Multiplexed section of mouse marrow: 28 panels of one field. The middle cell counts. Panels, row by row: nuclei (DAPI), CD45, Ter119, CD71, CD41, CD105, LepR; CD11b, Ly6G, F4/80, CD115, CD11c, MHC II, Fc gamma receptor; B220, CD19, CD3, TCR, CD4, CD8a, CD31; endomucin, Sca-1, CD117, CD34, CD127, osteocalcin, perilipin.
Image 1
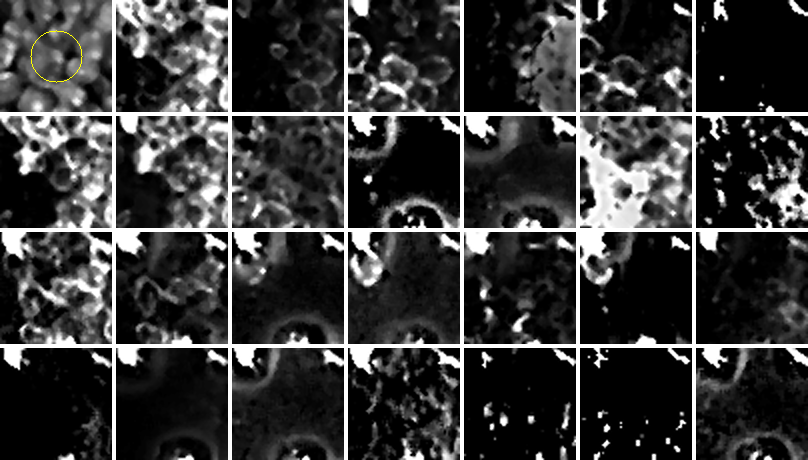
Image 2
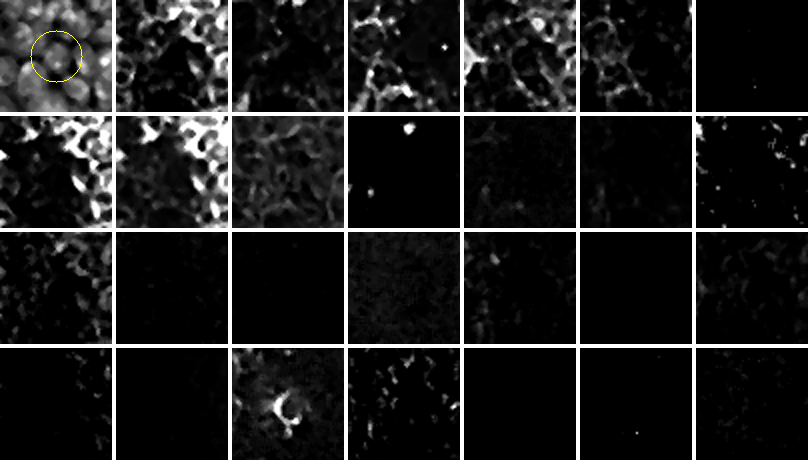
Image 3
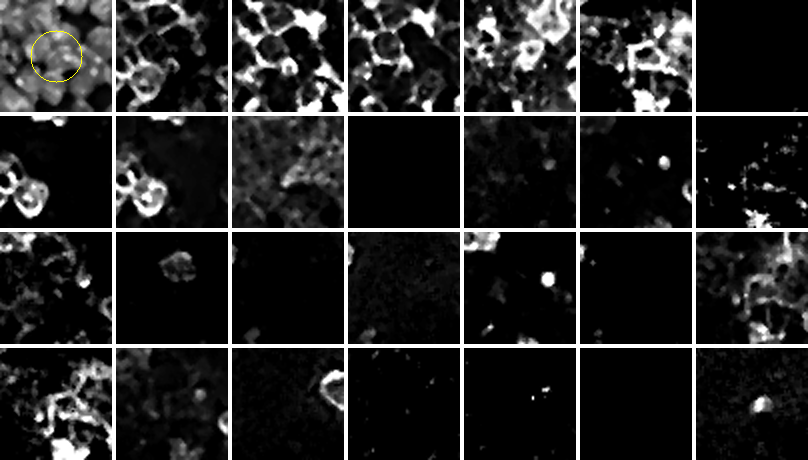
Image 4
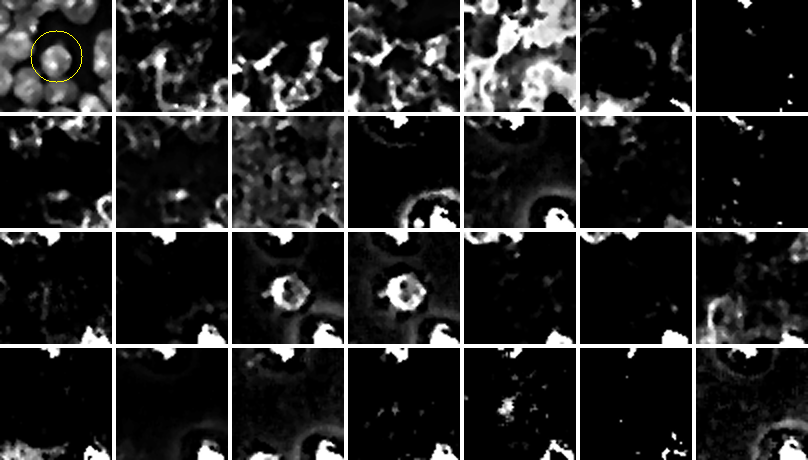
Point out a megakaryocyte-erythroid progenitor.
That is picture 2.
